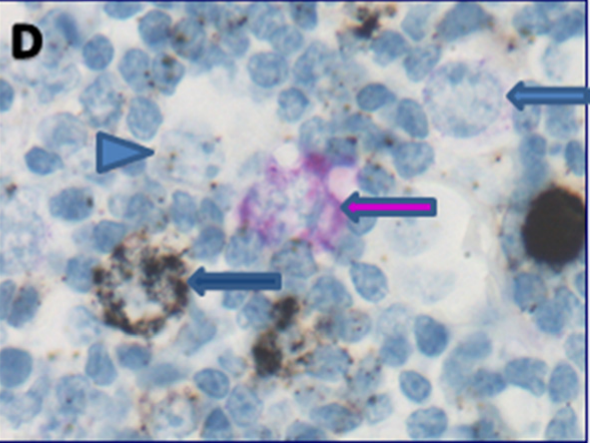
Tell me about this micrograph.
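Most cells are small to medium-sized with round to oval nuclei packed closely together. Scattered among them are larger cells: one carries coarse black granular deposits around a pale centre, and another shows pink granular staining over its cytoplasm. Other large cells have pale, open nuclei and no black or pink staining. At the right edge, a single cell is completely covered by solid black deposits.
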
